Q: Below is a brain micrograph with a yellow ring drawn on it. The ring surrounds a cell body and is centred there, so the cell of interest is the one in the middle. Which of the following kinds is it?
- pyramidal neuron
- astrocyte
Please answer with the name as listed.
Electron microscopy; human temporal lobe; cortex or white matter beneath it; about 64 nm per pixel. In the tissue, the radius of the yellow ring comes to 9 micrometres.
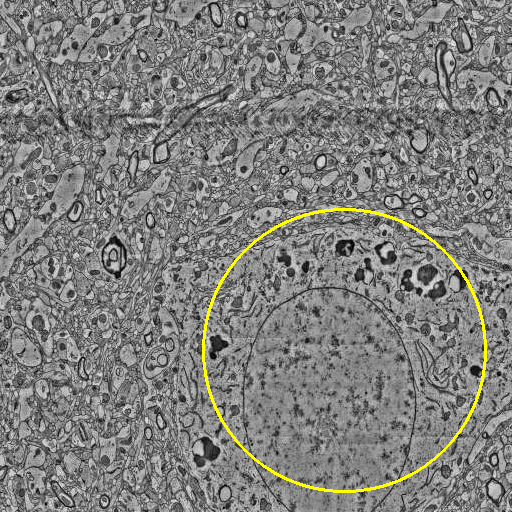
pyramidal neuron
